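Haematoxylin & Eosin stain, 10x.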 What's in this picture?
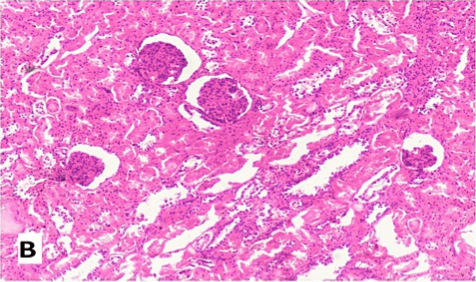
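Kidney tissue at low power with several glomeruli that look shrunken: the tufts are compact, dense and purple, pulled away from their capsules and surrounded by wide empty spaces. Around them the tubules are disordered; many are broken up, with pale pink cytoplasm, loss of clear nuclei and cells shed into the lumina, leaving irregular slit-like gaps. Small dark nuclei are scattered between the tubules, suggesting inflammatory cells. The picture fits sclerosed glomeruli with tubular necrosis and inflammation.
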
